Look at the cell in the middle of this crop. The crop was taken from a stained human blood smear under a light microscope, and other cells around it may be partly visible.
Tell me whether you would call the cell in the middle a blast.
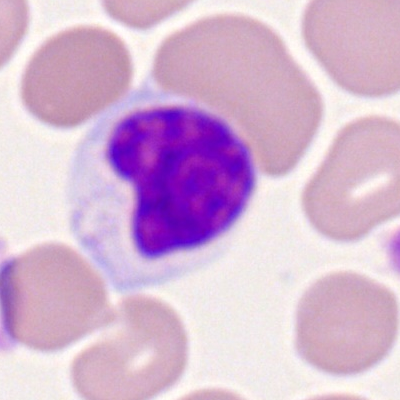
no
